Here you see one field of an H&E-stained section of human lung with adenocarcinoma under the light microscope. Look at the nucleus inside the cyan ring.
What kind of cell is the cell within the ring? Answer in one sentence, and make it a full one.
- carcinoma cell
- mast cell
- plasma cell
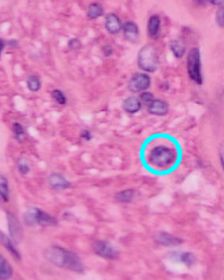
For cell typing purposes, the cell within the ring is a mast cell.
